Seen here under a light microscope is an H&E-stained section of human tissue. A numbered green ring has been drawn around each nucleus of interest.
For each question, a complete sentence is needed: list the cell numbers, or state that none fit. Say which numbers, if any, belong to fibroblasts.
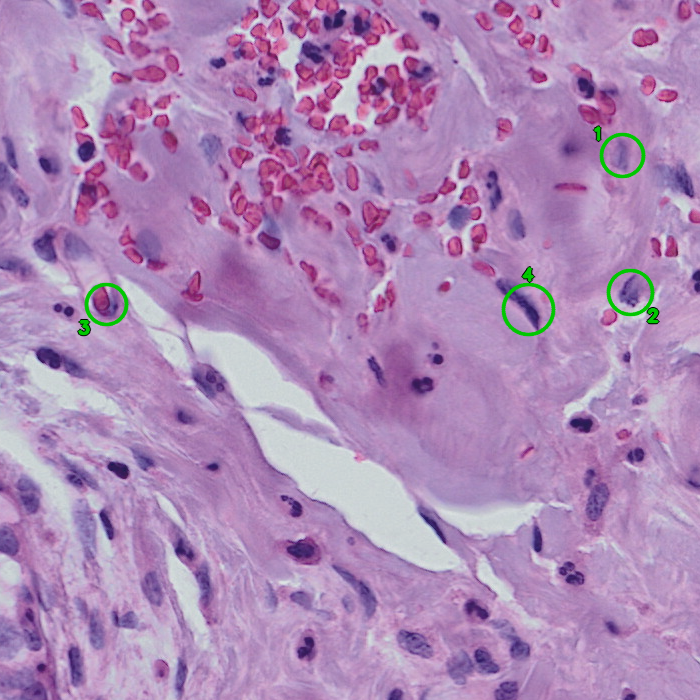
Cells 1, 2 and 4 are recognised here as fibroblasts.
